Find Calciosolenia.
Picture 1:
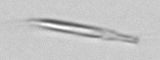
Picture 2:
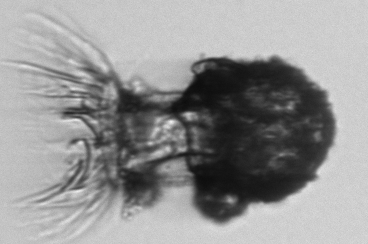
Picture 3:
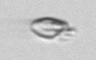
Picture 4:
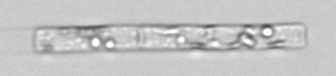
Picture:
1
